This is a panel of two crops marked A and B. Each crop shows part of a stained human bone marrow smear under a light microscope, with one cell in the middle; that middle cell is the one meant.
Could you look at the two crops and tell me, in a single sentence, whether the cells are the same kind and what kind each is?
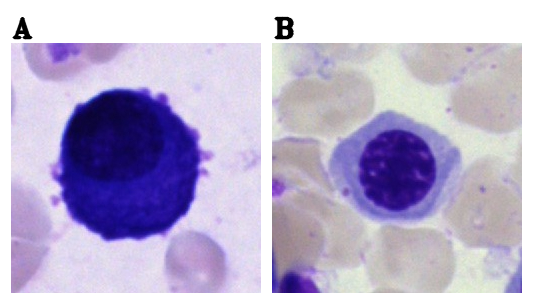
No, the cell at the middle of crop A is a plasma cell, while crop B centres on an erythroblast.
